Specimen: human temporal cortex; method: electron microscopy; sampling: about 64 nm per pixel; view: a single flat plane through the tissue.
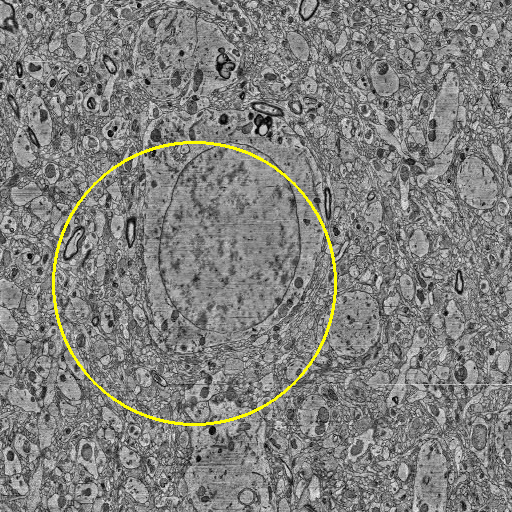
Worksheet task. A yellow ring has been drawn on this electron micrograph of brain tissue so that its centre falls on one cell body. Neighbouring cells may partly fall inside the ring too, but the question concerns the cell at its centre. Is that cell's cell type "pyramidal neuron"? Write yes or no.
yes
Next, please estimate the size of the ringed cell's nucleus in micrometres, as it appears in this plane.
In this plane the nucleus is about 13 micrometres by 9.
